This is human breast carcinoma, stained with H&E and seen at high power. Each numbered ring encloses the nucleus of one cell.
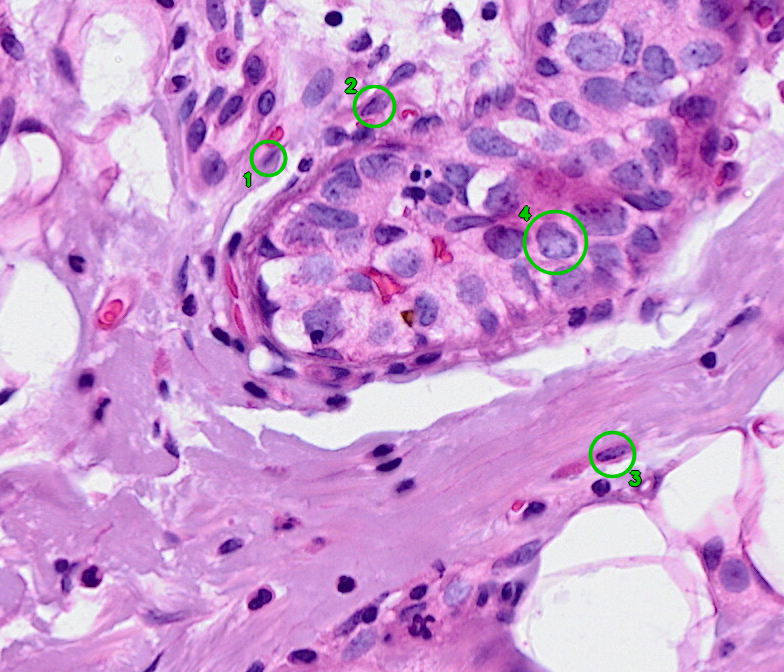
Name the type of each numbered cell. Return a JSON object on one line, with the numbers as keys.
{"1": "endothelial cell", "2": "endothelial cell", "3": "mast cell", "4": "carcinoma cell"}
